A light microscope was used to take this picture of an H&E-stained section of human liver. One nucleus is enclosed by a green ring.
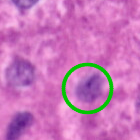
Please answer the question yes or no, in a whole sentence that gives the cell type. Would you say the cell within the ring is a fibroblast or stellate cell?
No, the cell within the ring is not a fibroblast or stellate cell, being instead an endothelial cell.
